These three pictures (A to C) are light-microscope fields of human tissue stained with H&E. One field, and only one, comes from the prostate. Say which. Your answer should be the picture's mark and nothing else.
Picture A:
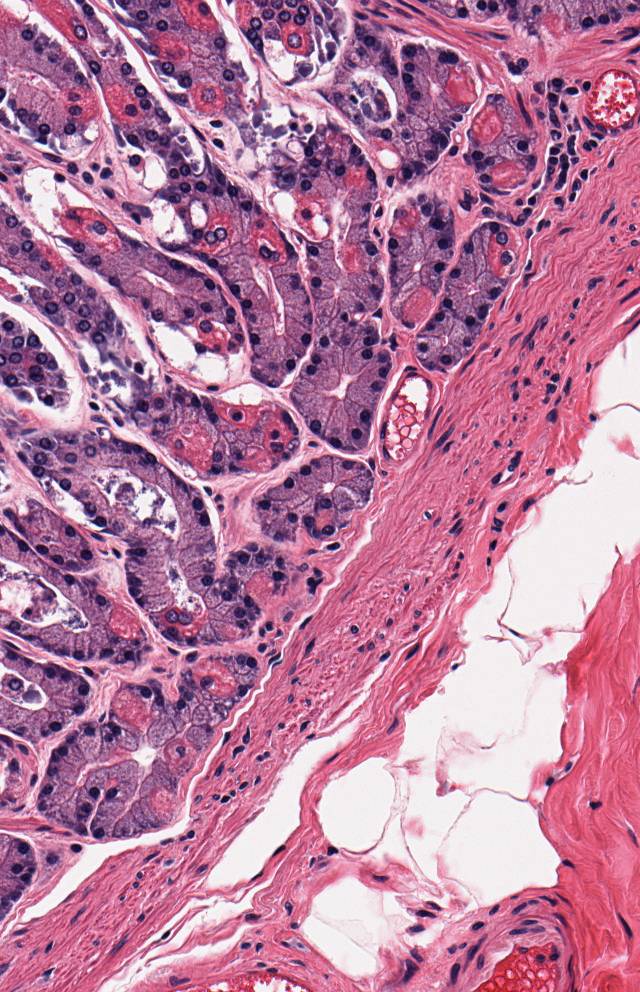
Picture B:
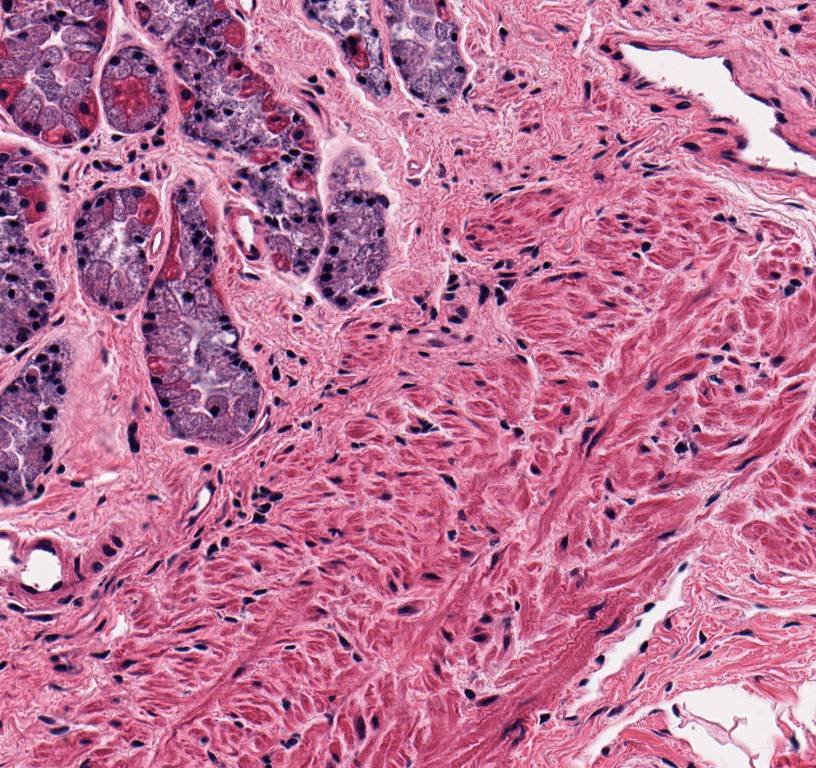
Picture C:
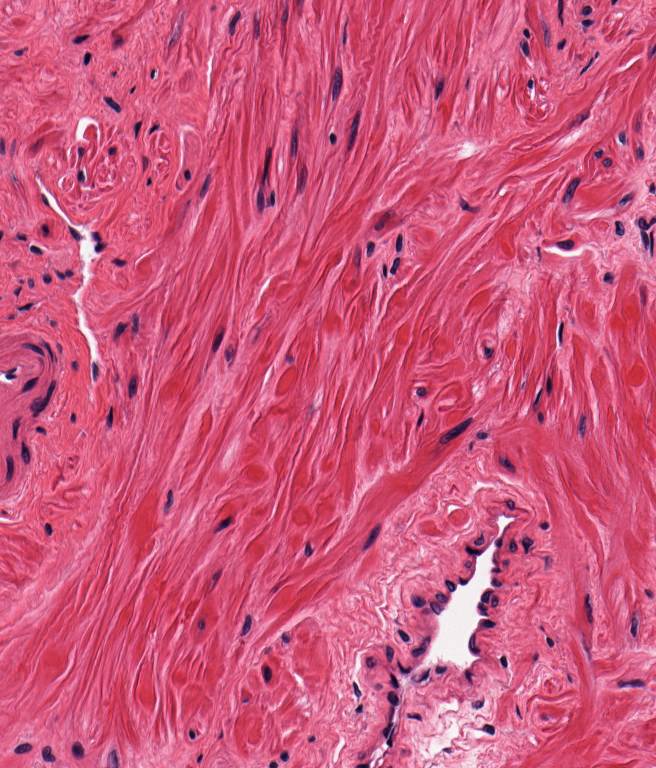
C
